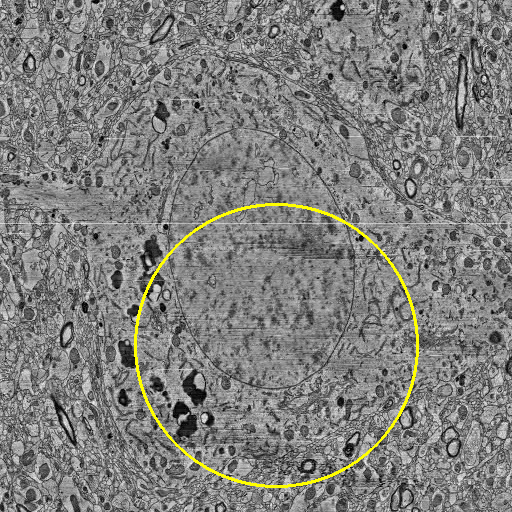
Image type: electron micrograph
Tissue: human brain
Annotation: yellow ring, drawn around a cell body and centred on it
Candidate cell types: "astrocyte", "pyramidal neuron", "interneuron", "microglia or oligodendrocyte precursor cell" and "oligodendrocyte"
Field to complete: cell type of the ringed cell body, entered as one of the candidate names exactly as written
pyramidal neuron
